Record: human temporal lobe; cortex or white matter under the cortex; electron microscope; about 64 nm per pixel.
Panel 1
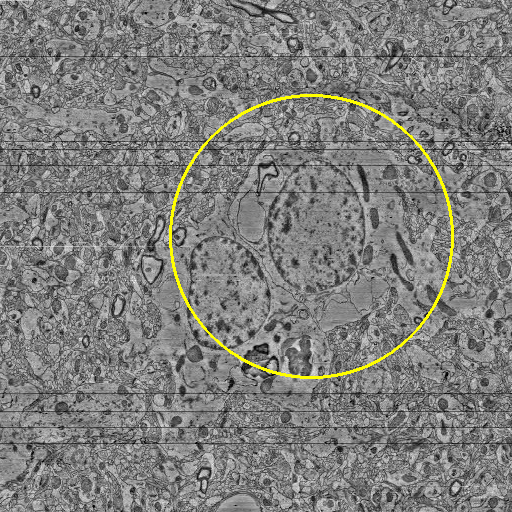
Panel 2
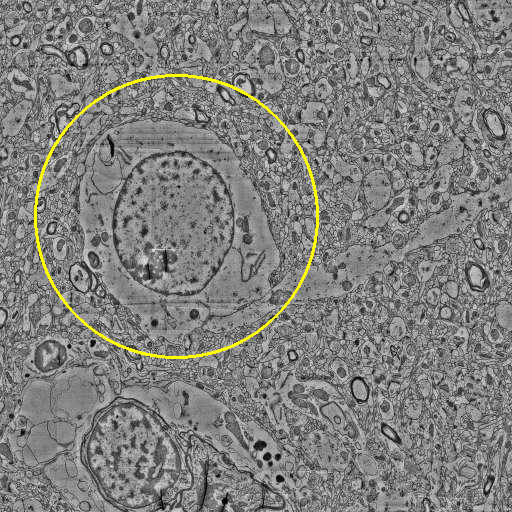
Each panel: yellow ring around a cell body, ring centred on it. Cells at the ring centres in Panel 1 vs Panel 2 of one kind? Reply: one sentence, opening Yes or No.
Yes, Panel 1 and Panel 2 have cells of one kind at the ring centres.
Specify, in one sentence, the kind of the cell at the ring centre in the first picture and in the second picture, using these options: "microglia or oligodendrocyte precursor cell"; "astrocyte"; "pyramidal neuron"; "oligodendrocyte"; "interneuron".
Each of the two rings is centred on an astrocyte.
